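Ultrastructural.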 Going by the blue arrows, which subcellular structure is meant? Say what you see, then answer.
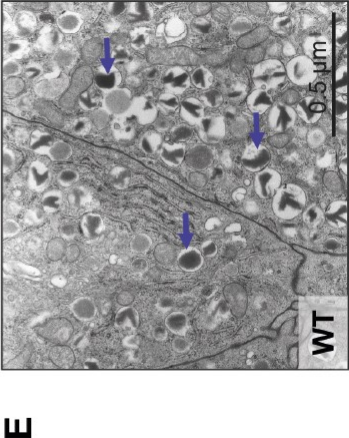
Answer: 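Insulin granules. The arrows point to membrane-bound vesicles with an electron-dense, irregular core. Each dense core is surrounded by a pale halo. Many such vesicles fill the cytoplasm.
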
